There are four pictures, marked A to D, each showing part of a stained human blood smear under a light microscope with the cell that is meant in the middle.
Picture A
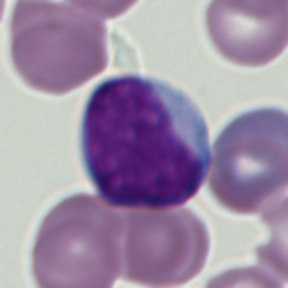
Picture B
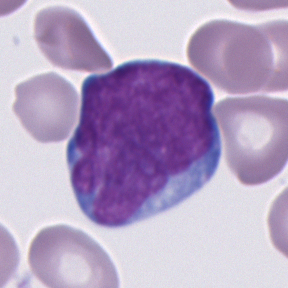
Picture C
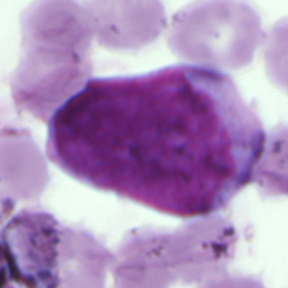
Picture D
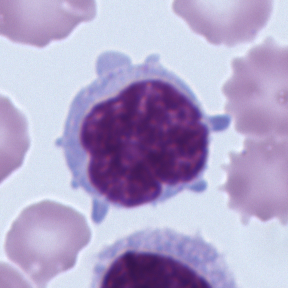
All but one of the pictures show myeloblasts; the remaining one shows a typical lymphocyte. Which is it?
D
